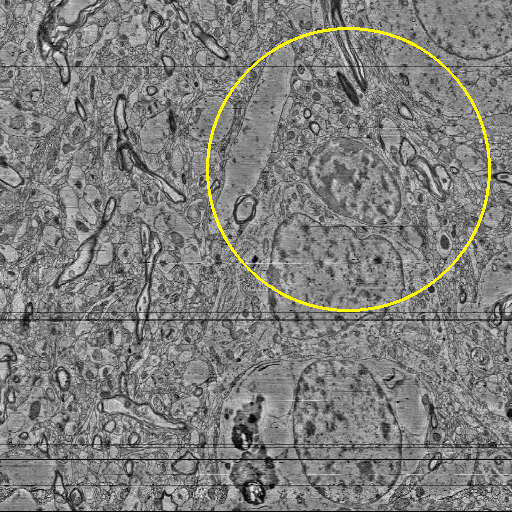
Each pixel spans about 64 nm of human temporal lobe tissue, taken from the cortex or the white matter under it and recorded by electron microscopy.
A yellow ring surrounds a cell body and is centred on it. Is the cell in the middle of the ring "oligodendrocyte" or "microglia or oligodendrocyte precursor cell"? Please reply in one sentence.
The ring is centred on an oligodendrocyte.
